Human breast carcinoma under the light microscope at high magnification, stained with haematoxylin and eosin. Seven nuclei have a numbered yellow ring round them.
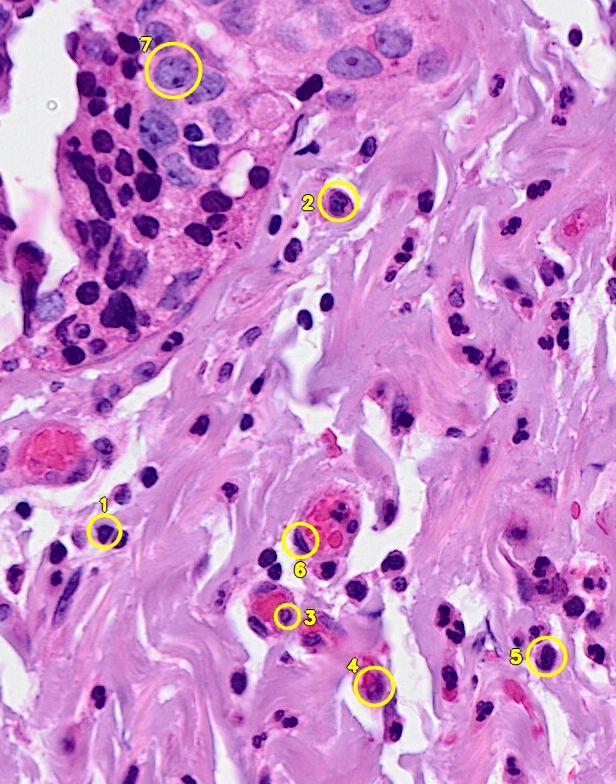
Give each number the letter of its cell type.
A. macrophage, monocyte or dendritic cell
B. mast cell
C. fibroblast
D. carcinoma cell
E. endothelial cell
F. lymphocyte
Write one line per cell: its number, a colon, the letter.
1: F
2: B
3: E
4: E
5: A
6: E
7: D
